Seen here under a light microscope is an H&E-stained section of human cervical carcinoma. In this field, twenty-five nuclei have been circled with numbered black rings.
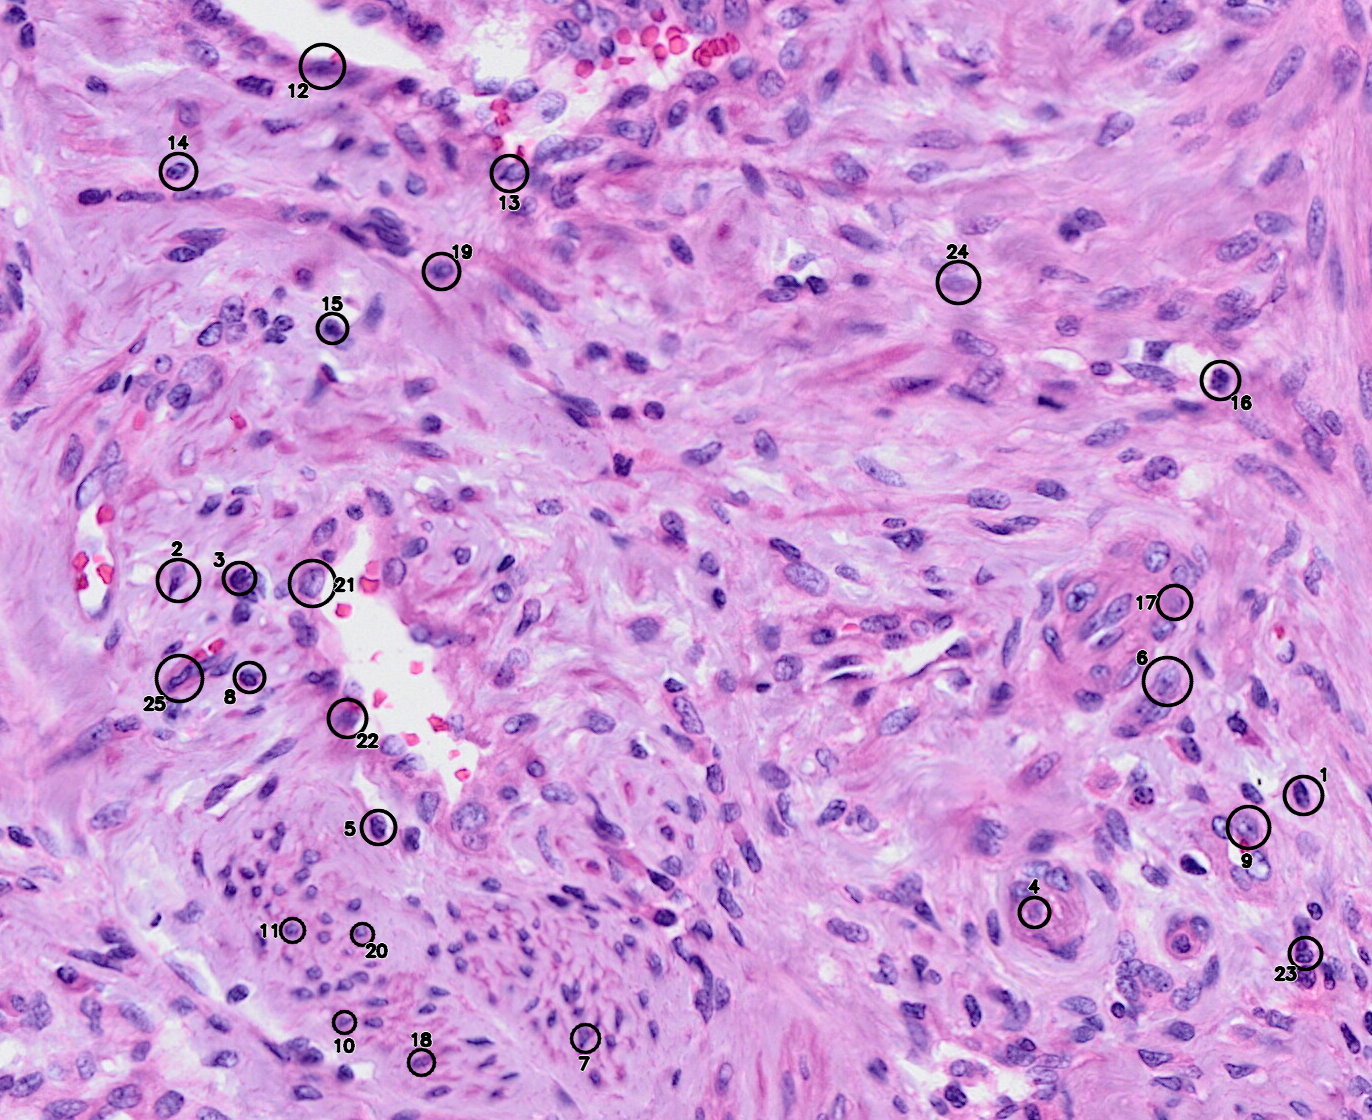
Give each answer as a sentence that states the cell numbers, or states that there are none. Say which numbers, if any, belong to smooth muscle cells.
Identification: the cells with numbers 7, 10, 11, 17, 18 and 20 are smooth muscle cells.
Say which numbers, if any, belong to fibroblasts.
It is only cell 24 that is a fibroblast among the numbered cells.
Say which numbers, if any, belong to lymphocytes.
Cells 1, 3, 5, 8, 14, 15, 16 and 23 are of one type, namely lymphocytes.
